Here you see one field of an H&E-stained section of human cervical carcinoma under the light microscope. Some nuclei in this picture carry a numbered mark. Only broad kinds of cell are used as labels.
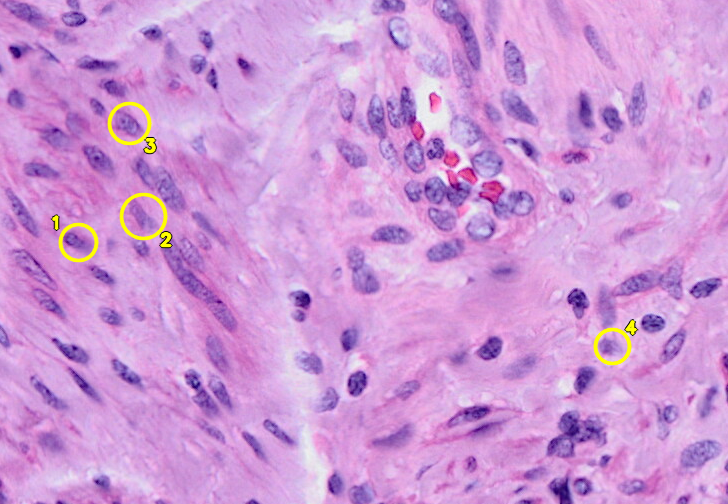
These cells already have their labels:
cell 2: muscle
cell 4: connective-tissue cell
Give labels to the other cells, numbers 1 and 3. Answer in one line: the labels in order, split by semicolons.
muscle; muscle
